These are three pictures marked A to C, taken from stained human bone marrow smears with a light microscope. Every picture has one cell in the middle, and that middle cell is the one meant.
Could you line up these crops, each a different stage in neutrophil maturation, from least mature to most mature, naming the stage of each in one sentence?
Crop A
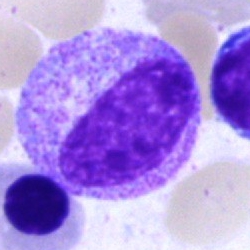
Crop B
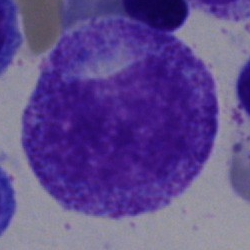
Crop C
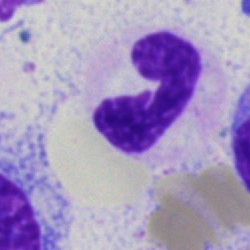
In terms of maturity, from least to most, the order is crop B (a promyelocyte), crop A (a metamyelocyte) and crop C (a segmented neutrophil).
